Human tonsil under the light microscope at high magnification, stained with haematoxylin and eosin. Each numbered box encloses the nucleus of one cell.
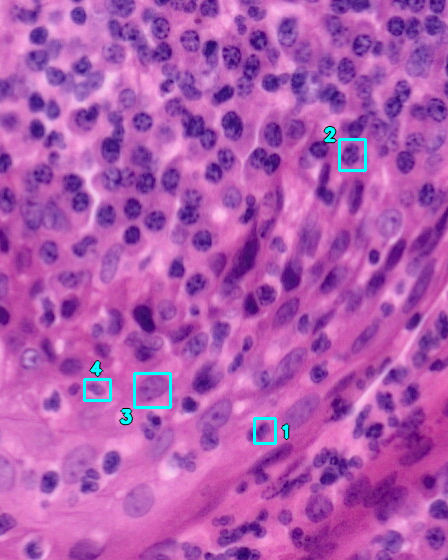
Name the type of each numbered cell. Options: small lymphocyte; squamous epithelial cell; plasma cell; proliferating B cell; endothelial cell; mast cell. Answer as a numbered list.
1. squamous epithelial cell
2. plasma cell
3. squamous epithelial cell
4. squamous epithelial cell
